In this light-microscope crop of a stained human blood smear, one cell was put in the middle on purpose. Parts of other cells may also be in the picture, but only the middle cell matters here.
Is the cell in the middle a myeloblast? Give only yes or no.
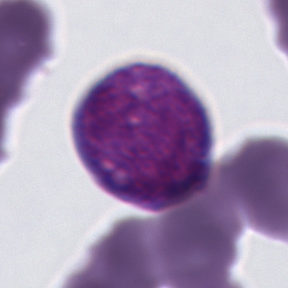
yes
